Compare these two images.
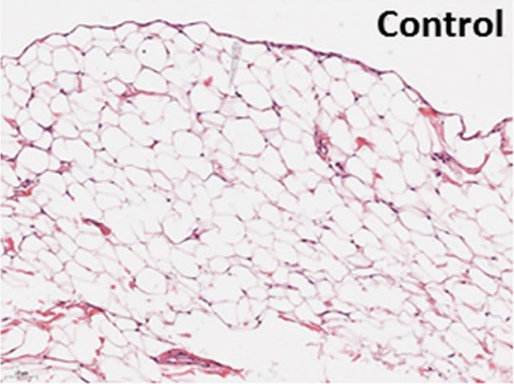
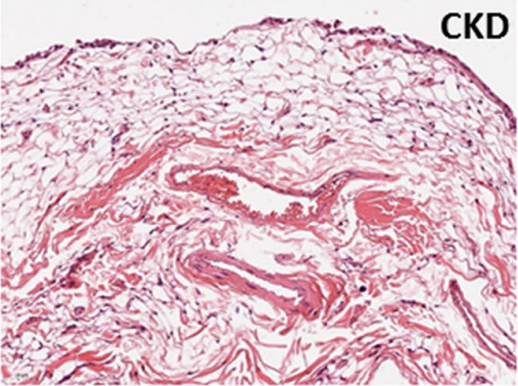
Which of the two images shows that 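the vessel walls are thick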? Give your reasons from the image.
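Second image: a large vessel in the middle has a thick, deep pink wall surrounded by dense pink bundles. On this evidence: the second image.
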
